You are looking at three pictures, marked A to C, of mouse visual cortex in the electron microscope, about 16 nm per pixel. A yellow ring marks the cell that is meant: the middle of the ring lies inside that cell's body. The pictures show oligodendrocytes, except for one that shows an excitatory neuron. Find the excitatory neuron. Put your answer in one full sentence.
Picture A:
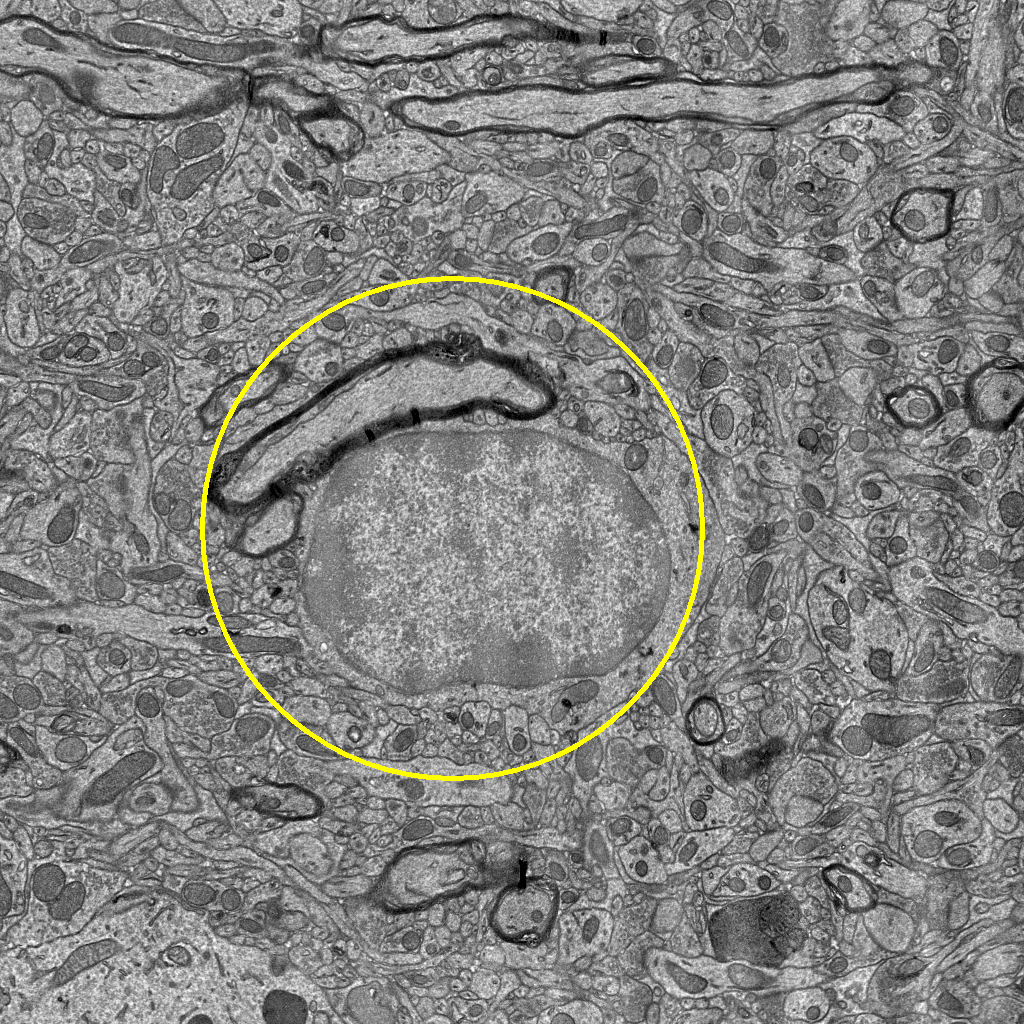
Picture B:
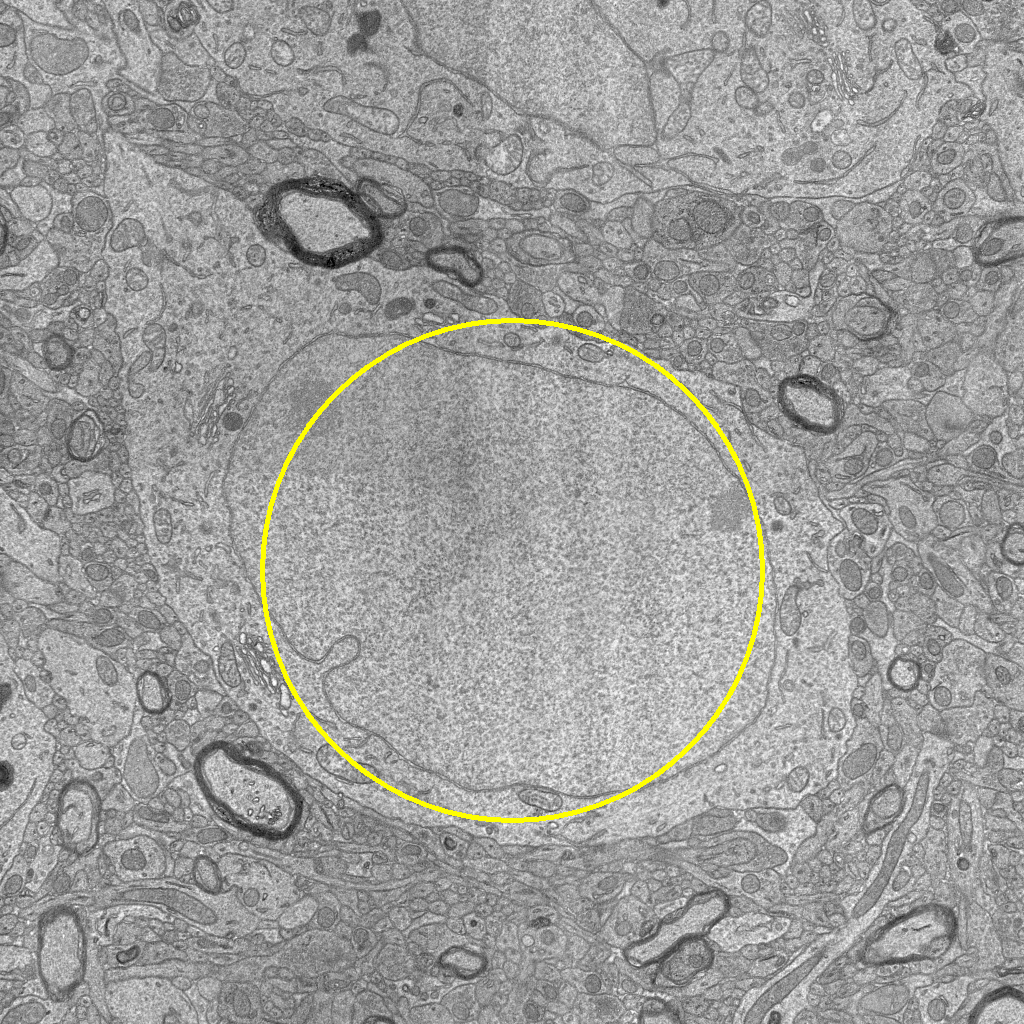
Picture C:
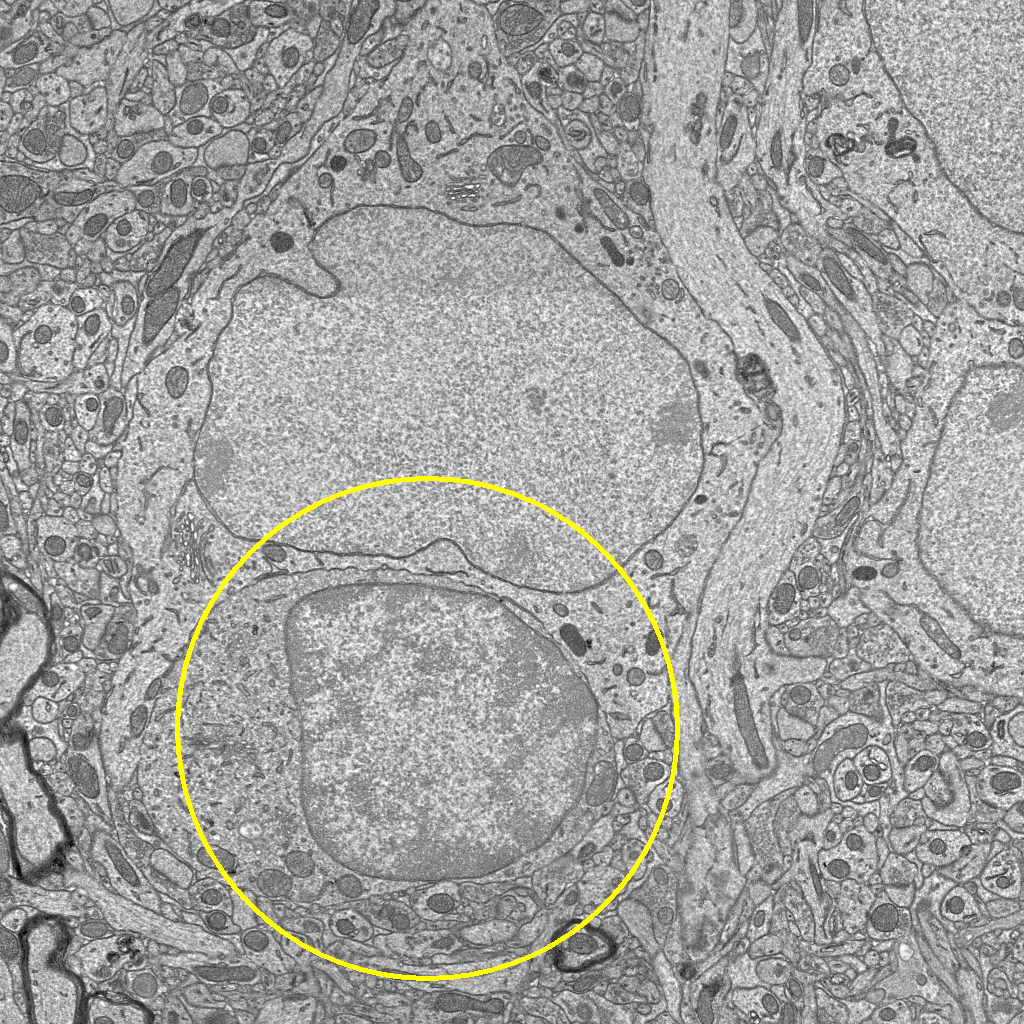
The cell in picture B is the excitatory neuron.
